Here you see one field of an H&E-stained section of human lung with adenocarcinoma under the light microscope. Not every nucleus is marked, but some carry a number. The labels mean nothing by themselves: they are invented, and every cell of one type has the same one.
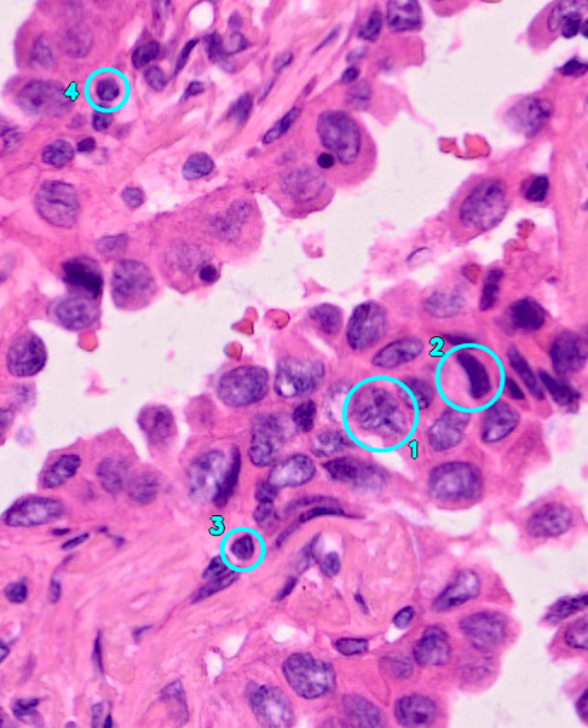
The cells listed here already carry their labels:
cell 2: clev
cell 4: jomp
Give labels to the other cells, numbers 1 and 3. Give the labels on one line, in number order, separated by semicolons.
clev; jomp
